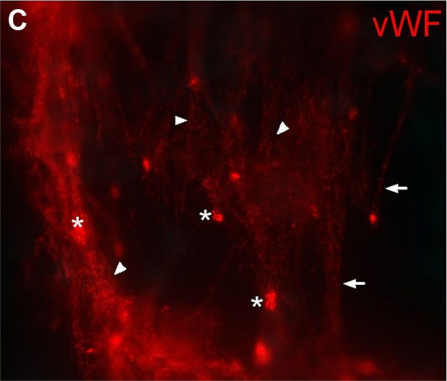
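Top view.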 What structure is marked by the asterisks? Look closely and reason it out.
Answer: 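Small bright red dots stand out along the strands. The dots are much brighter than the surrounding threads.
Answer: granula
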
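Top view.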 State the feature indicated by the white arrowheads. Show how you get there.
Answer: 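Fine red threads cross and join into a loose meshwork. The mesh is faint and spread over wide areas. So: cobwebs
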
